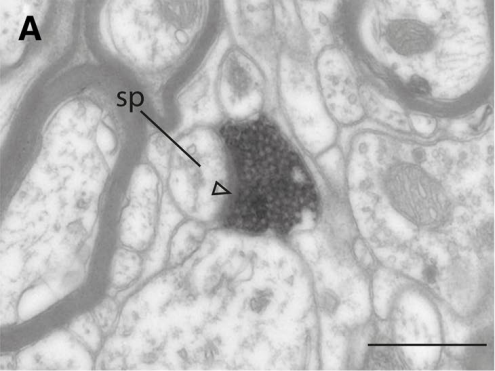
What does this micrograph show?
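In neuropil cut in thin section, a small dark profile packed with round vesicles lies against a pale, rounded process. The arrowhead marks the contact between them, where the pale process forms a synapse with the dark terminal. Around them lie many small unmyelinated profiles, some with mitochondria, and a thick dark myelin sheath curves through the left of the field.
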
